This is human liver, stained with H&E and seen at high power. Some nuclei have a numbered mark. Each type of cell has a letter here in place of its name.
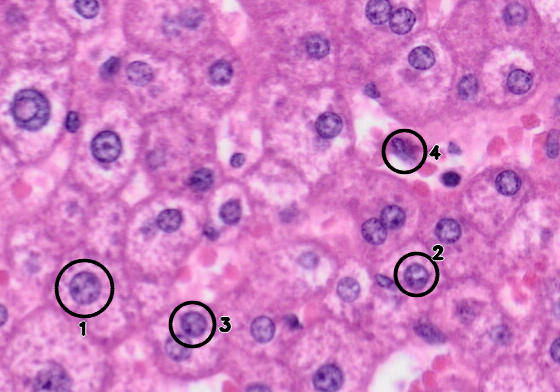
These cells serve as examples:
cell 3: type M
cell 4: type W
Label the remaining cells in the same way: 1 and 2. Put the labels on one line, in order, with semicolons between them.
type M; type M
